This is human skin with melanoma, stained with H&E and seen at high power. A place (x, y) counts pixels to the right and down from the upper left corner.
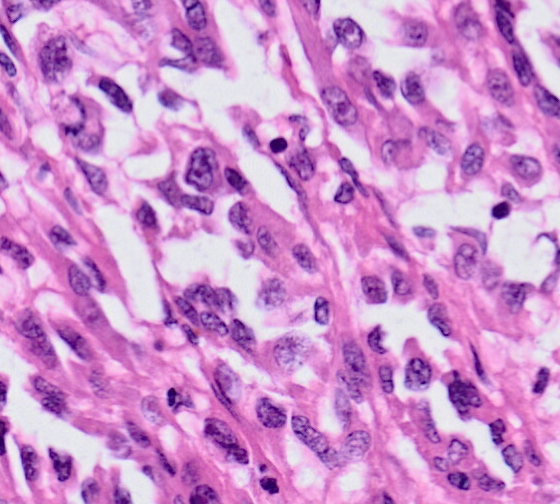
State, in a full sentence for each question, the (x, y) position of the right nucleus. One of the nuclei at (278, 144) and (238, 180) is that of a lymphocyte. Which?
Lying within a lymphocyte is the nucleus at (278, 144).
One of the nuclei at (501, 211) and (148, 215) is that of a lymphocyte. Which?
Of the two nuclei, the one sitting at (501, 211) belongs to a lymphocyte.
